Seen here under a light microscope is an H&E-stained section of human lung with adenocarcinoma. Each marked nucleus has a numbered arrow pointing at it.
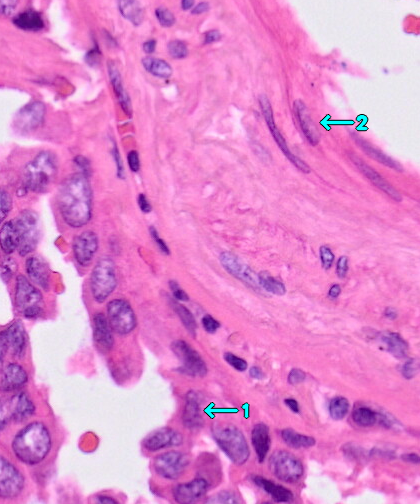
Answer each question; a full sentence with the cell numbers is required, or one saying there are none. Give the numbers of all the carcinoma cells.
Cell 1 is the single numbered cell that is a carcinoma cell.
